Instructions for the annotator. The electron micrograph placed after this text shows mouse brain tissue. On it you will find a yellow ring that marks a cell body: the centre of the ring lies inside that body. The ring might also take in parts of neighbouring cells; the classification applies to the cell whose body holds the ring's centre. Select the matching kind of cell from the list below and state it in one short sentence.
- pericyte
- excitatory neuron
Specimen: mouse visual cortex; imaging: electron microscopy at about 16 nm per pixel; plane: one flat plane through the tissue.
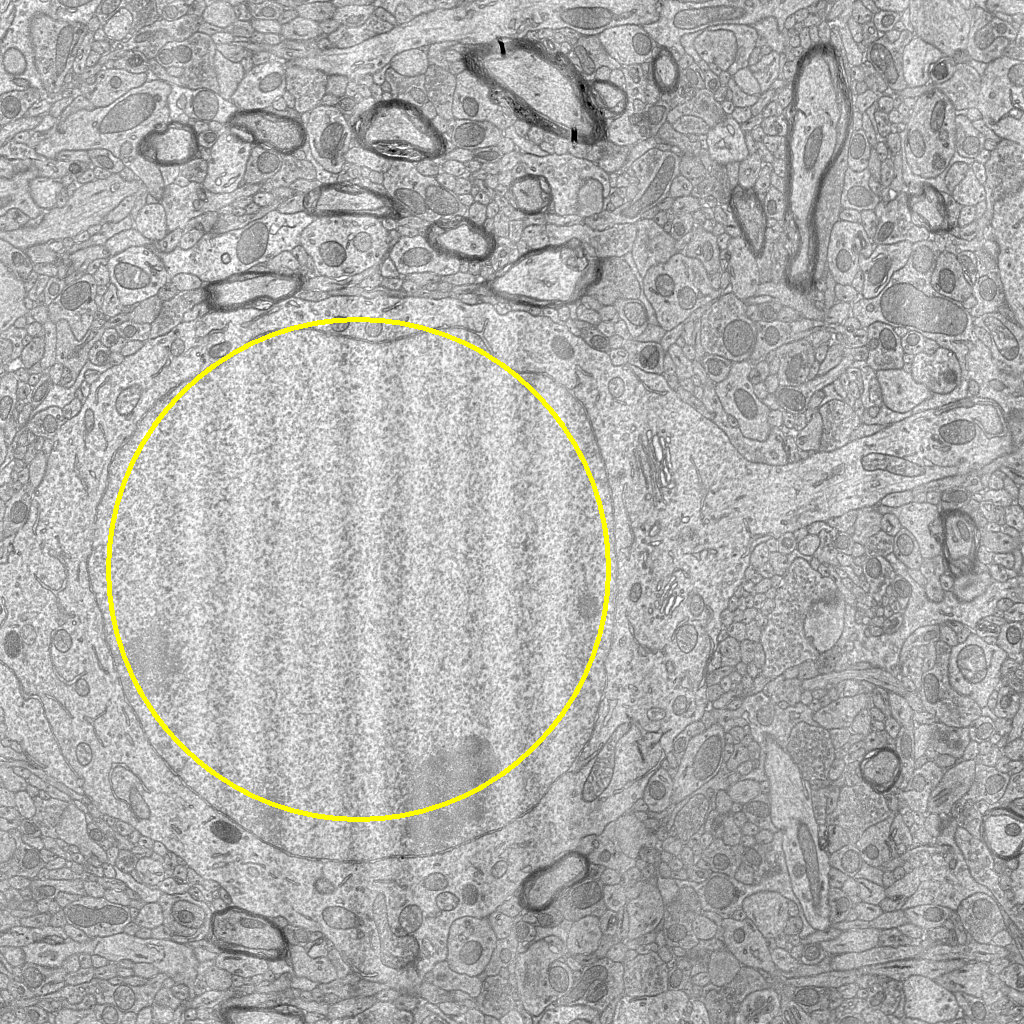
The centre of the ring lies in the cell body of an excitatory neuron.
